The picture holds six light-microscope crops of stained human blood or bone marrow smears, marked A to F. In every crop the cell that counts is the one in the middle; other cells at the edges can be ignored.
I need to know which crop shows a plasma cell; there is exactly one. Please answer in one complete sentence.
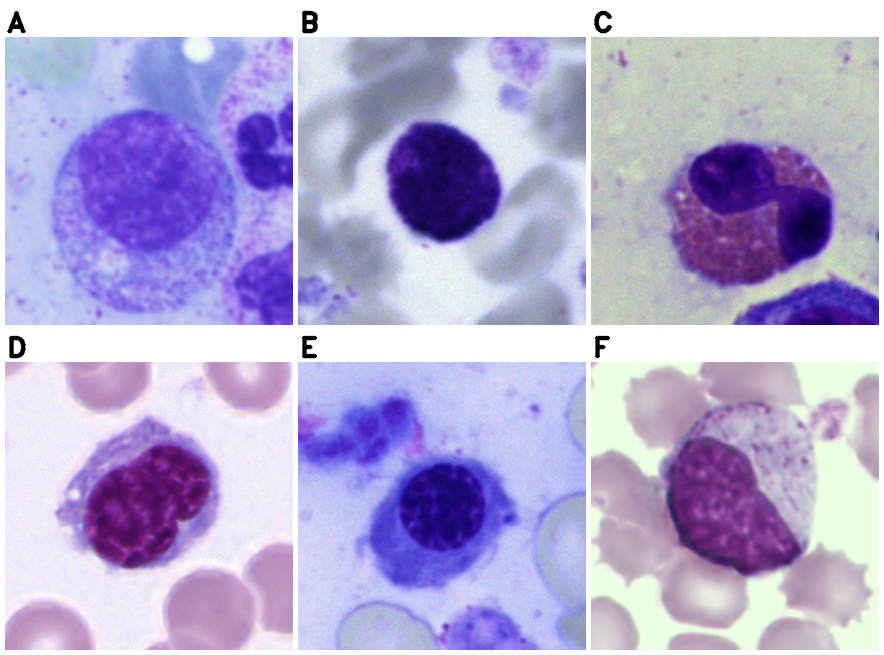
Selected crop: D, which is the one that shows a plasma cell.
